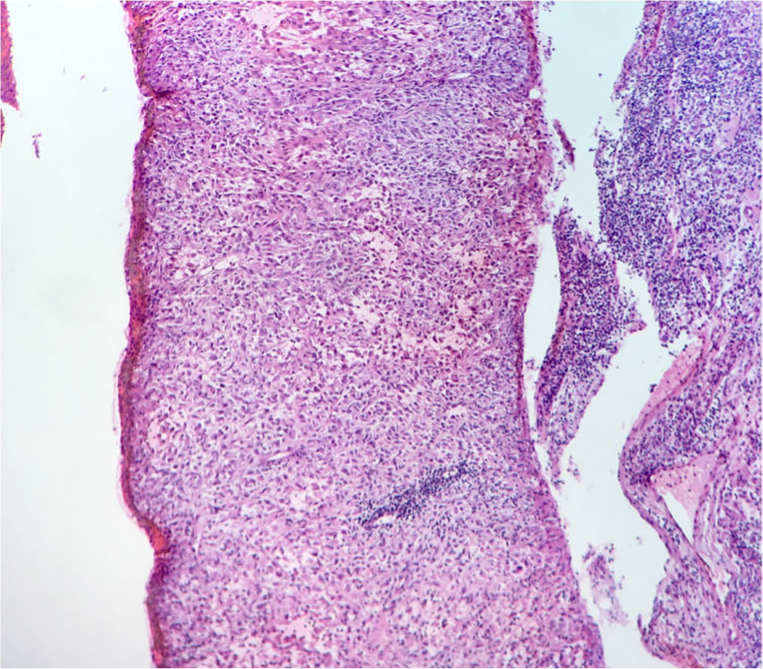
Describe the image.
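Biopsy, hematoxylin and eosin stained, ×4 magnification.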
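A thin, darker pink surface layer runs along the left edge. Beneath it, purple nuclei are crowded throughout, without forming an organized pattern. Pale pinker patches are scattered within the cellular sheet, and a small streak of dark nuclei lies in the lower middle. To the right, separate loose fragments contain many small dark nuclei.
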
